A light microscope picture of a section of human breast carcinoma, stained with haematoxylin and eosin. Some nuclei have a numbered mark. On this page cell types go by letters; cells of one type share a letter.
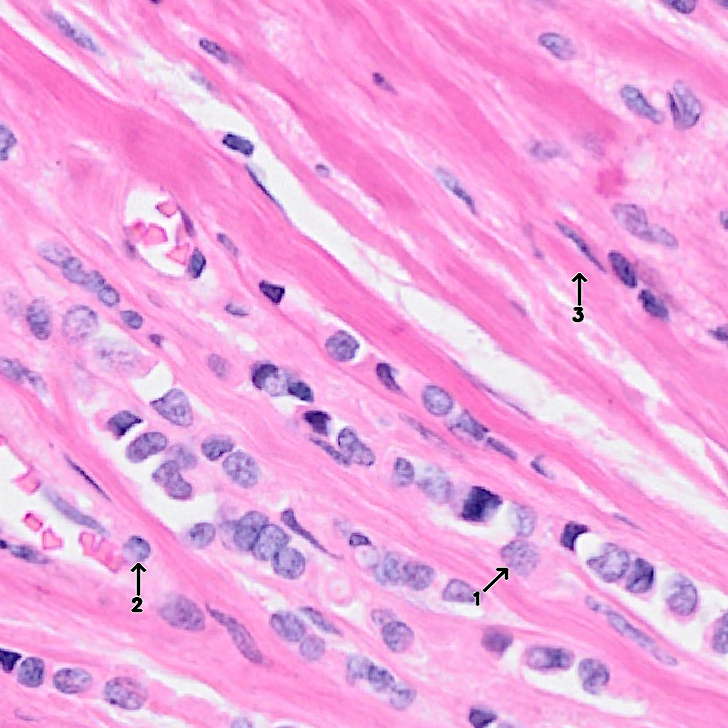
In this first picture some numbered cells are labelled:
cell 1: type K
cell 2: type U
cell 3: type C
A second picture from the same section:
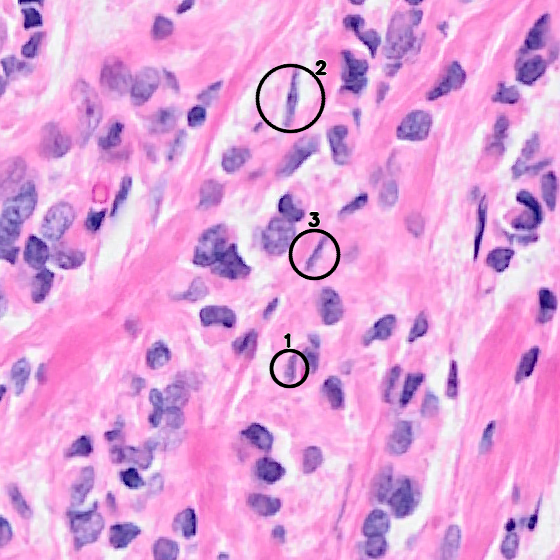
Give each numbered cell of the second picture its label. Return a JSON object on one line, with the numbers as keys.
{"1": "type U", "2": "type C", "3": "type C"}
